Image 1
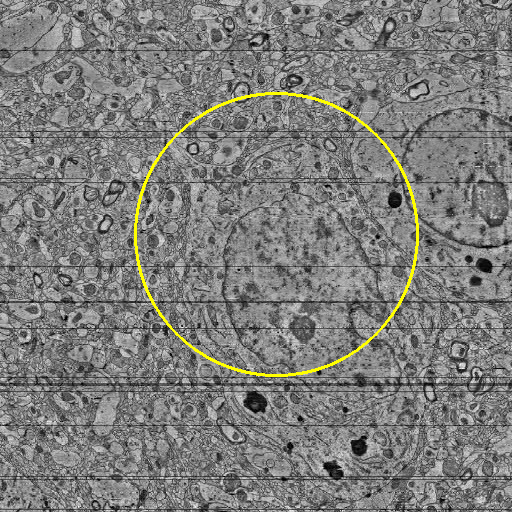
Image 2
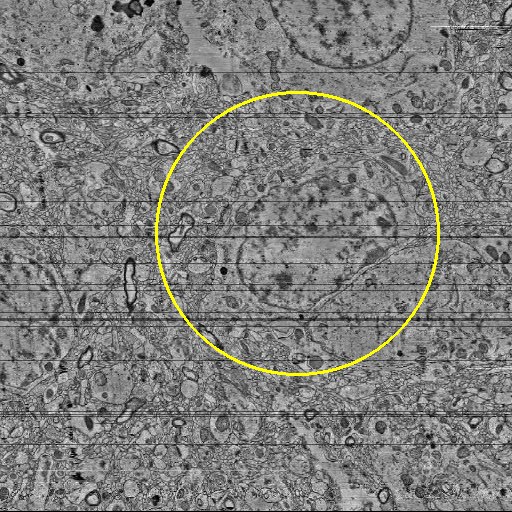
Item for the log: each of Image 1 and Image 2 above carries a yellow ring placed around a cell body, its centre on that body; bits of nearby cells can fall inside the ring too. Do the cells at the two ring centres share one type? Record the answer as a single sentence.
Yes, the two cells at the ring centres in Image 1 and Image 2 share one type.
